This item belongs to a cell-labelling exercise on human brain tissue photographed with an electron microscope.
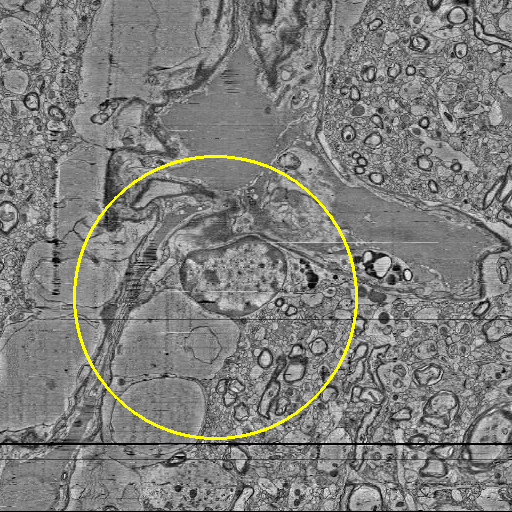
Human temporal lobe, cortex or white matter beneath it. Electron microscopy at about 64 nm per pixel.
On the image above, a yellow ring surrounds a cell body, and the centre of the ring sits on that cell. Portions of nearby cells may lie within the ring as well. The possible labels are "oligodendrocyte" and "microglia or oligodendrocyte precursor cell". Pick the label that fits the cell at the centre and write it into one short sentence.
This cell should be labelled as a microglial cell or oligodendrocyte precursor cell.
